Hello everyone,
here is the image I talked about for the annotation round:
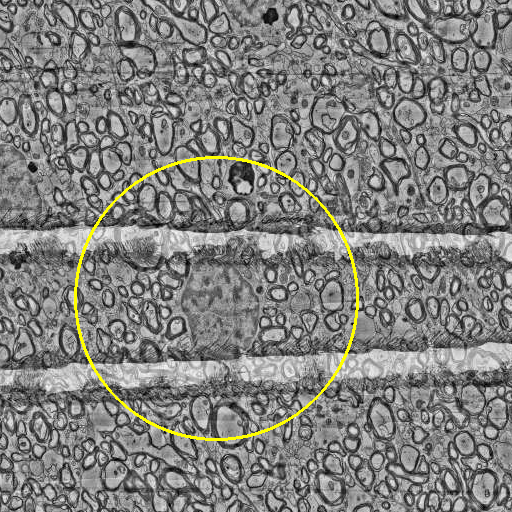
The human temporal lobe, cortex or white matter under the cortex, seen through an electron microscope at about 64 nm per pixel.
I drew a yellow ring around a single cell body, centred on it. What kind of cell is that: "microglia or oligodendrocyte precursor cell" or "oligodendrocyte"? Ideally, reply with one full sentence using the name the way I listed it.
The cell your yellow ring is centred on is an oligodendrocyte, going by your list.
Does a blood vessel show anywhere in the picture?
No.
